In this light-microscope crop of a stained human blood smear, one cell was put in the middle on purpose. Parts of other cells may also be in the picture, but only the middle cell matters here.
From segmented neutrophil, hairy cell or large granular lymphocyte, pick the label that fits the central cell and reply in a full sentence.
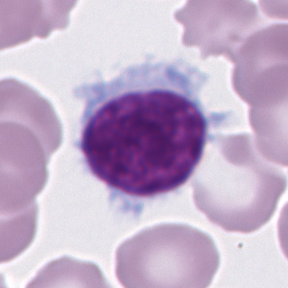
The target cell in the middle of the crop is a hairy cell.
